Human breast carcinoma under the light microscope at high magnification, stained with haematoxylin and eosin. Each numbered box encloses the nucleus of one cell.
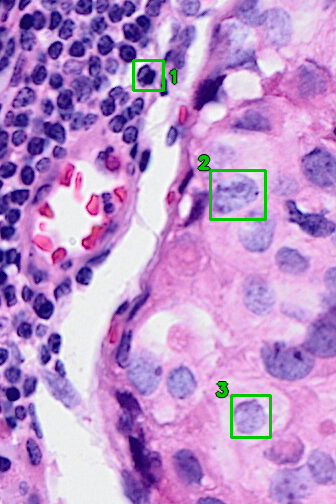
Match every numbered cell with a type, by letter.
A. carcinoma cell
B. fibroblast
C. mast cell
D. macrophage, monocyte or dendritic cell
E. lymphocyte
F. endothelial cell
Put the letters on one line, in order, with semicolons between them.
E; A; A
